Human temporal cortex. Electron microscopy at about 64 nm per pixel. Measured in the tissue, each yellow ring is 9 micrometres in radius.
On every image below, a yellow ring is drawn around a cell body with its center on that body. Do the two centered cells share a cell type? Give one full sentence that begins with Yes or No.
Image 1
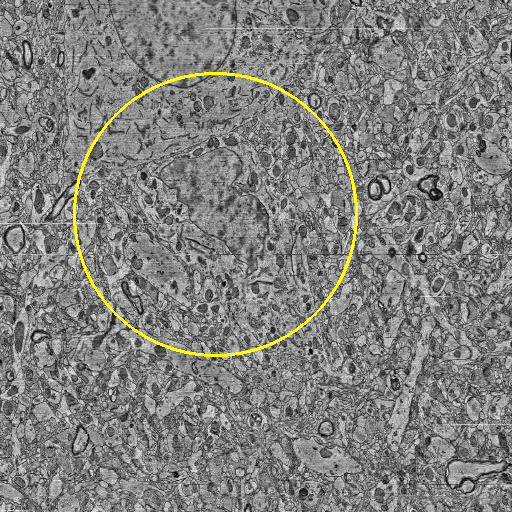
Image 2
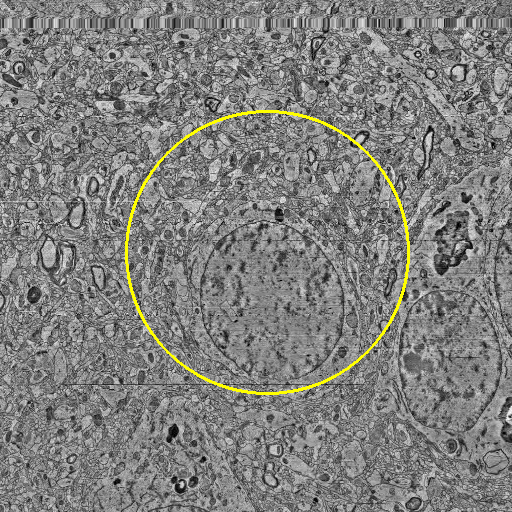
No, the centered cells in the two images are of two separate cell types.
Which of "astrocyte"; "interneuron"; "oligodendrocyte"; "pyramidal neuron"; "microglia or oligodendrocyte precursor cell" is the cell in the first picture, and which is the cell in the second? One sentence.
The two differ: the first cell is an interneuron and the second is a pyramidal neuron.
